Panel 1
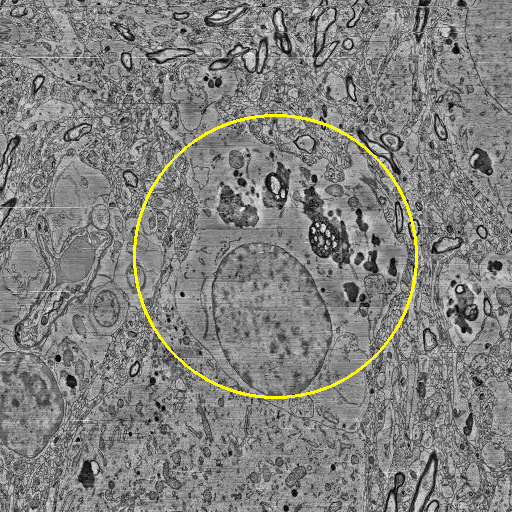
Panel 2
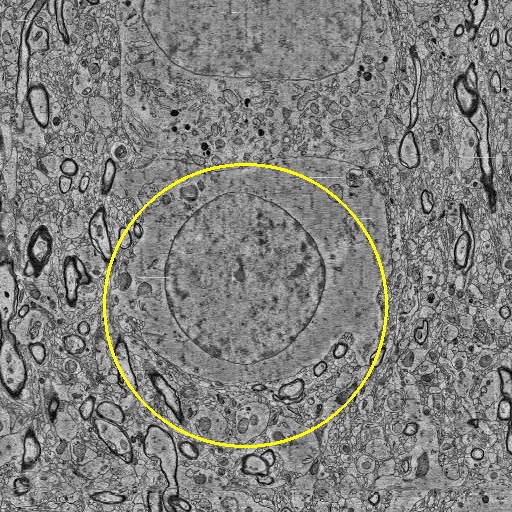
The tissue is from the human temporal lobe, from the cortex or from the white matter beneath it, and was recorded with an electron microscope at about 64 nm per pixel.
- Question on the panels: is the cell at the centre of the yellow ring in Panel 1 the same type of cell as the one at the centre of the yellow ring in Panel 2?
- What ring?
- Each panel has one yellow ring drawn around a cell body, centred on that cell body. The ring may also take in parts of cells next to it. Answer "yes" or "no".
yes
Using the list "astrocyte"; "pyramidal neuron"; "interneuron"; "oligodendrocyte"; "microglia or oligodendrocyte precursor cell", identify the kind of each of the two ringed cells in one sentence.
Each of the two pictures has an astrocyte at the ring centre.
